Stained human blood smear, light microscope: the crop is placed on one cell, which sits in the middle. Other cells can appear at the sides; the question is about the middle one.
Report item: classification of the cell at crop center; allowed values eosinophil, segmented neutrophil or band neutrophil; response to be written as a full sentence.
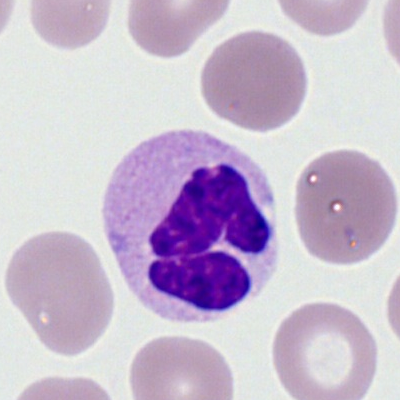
Answering briefly, the cell in the middle is a segmented neutrophil.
